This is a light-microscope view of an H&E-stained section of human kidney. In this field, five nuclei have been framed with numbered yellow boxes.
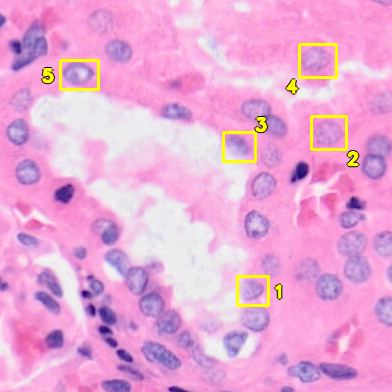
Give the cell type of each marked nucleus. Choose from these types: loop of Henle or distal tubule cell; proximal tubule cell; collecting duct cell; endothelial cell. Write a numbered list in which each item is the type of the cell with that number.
1. loop of Henle or distal tubule cell
2. proximal tubule cell
3. loop of Henle or distal tubule cell
4. proximal tubule cell
5. loop of Henle or distal tubule cell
